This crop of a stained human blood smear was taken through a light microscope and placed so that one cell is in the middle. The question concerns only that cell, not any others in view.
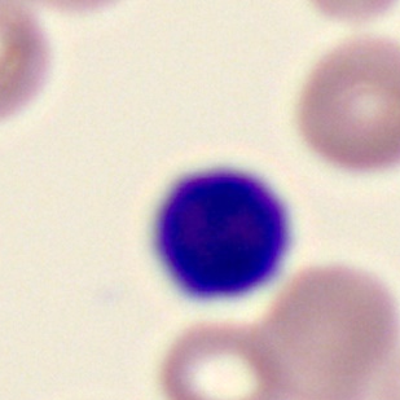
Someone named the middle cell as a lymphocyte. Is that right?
yes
